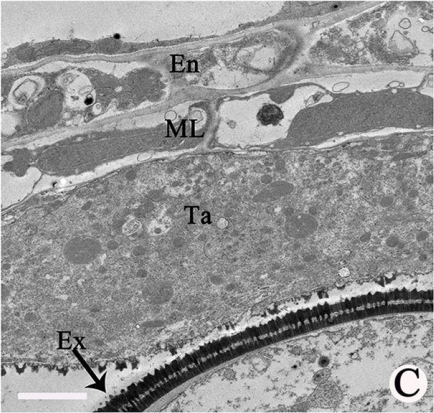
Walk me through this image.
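This electron micrograph shows the inner anther wall layers, namely endothecium, middle layer and tapetum, lying against a developing pollen grain. The endothecium and middle layer are thin, flattened cells near the top. They contain irregular vacuoles and small dense inclusions. Beneath them the tapetum forms a broad band of cytoplasm that is densely packed with many small round organelles and vesicles. At the lower edge, the wall of a pollen grain appears as a dark band of regularly spaced, column-like elements, the exine.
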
